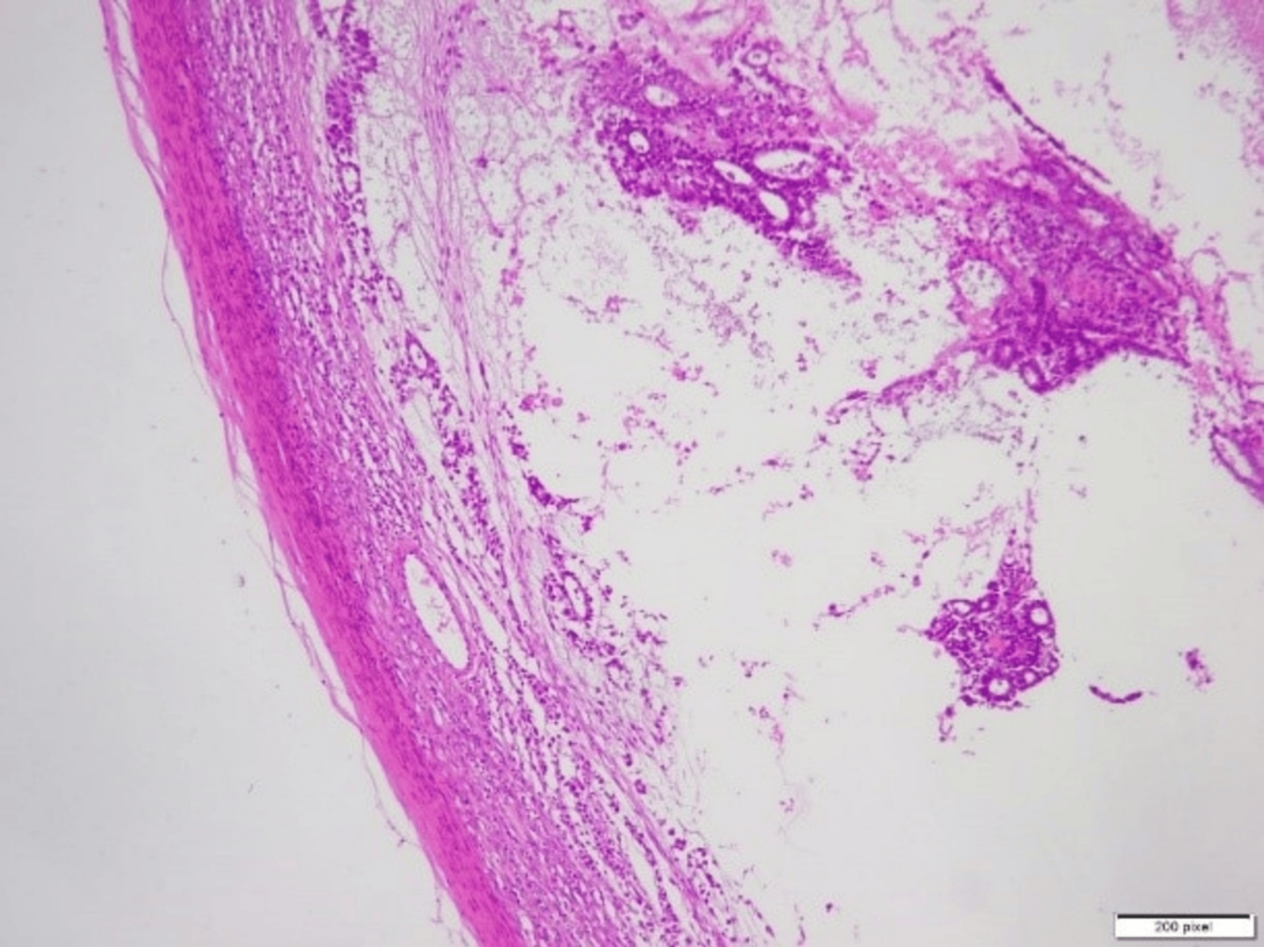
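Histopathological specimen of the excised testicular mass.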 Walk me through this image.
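Along the left edge runs a thick, dense pink layered epithelial band. Beneath it lies a more cellular zone containing small glands with round or oval open lumens. To the right, the tissue becomes loose, pale and wispy, with scattered islands of glands lined by dark purple cells.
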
